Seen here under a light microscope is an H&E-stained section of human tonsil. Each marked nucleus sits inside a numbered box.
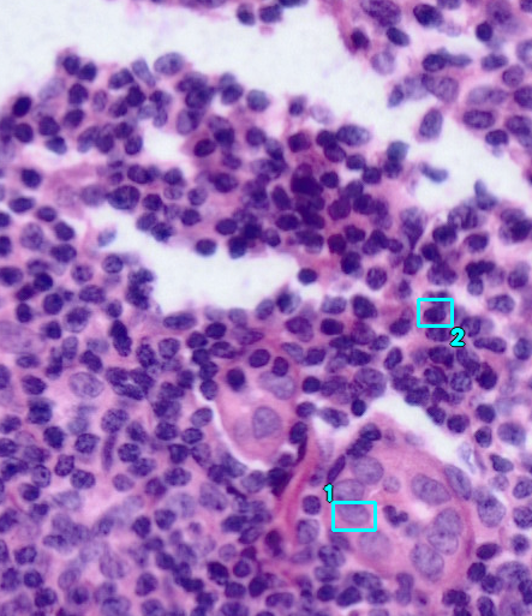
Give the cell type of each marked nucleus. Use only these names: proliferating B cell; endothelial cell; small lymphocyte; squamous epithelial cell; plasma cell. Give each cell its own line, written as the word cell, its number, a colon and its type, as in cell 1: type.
cell 1: endothelial cell
cell 2: small lymphocyte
